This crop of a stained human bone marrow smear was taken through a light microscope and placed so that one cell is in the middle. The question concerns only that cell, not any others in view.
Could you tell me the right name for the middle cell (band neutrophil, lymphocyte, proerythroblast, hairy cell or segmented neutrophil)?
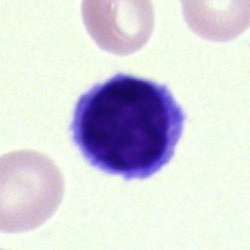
lymphocyte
